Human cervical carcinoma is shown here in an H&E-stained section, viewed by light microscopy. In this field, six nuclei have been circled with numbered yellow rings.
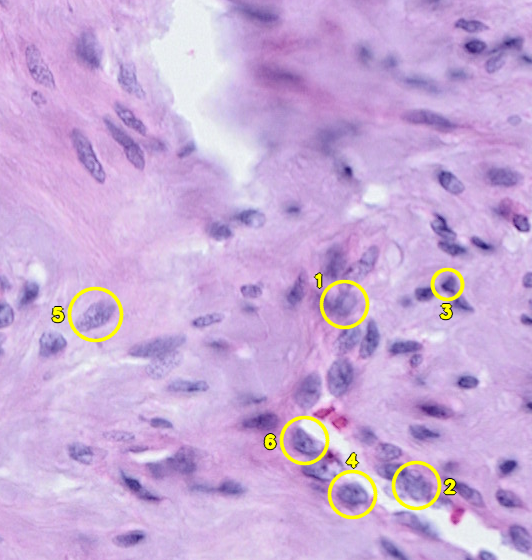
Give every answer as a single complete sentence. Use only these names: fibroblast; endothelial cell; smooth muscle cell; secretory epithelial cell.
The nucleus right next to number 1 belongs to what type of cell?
It is an endothelial cell whose nucleus is nearest to number 1.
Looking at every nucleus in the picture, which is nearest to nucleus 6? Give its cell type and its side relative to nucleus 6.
The nearest one is an endothelial cell, found below and to the right of nucleus 6.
